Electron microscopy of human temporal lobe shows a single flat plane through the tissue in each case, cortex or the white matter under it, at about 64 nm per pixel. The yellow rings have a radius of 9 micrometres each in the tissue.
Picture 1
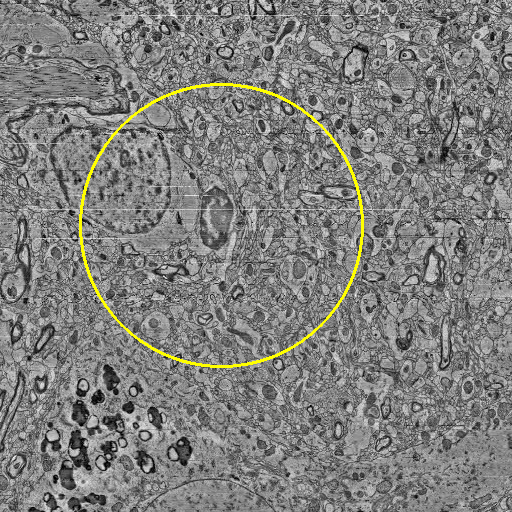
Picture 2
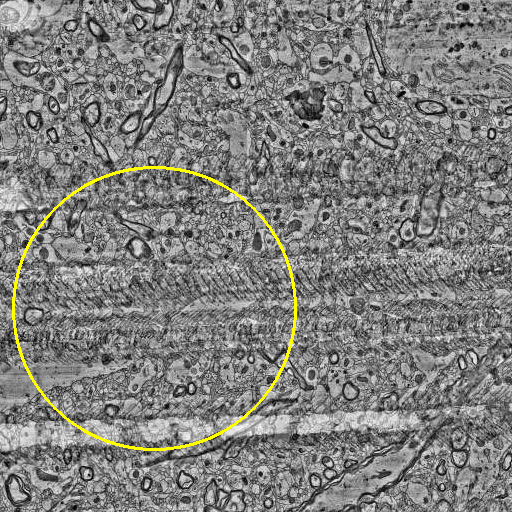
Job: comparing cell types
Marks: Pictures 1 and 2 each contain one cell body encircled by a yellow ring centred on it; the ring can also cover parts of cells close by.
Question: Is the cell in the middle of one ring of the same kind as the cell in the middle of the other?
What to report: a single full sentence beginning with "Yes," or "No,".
No, the cell at the ring centre in Picture 1 and its partner in Picture 2 are of two kinds.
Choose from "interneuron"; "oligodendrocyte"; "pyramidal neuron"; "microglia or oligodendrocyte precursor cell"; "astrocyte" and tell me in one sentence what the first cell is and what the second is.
What the first ring is centred on is a microglial cell or oligodendrocyte precursor cell; what the second ring is centred on is an oligodendrocyte.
